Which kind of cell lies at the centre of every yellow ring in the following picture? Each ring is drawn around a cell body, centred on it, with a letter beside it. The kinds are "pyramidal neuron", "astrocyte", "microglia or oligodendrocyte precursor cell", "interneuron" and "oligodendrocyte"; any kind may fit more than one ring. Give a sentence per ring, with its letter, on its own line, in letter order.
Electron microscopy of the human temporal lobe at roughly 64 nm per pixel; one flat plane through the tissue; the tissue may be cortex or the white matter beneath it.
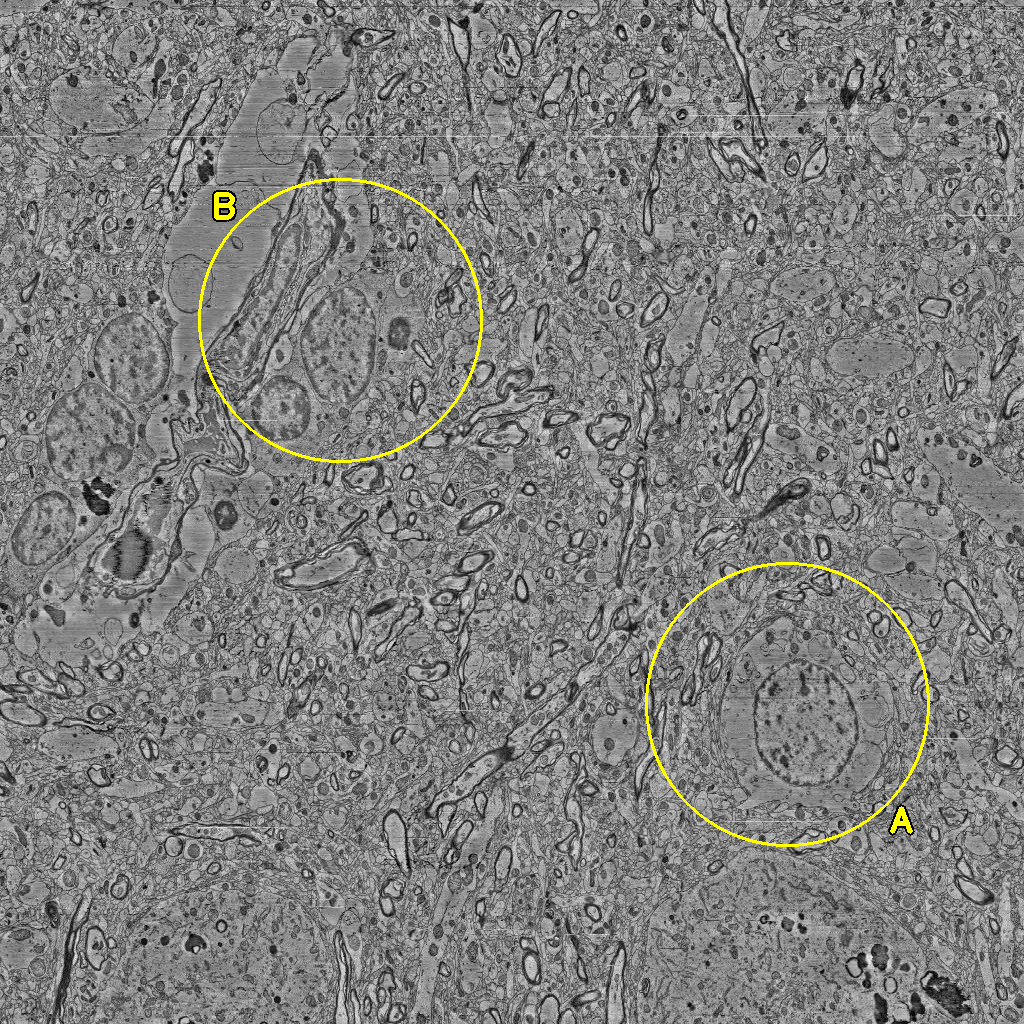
The cell body centred in ring A is that of an astrocyte.
The cell body centred in ring B is that of an oligodendrocyte.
